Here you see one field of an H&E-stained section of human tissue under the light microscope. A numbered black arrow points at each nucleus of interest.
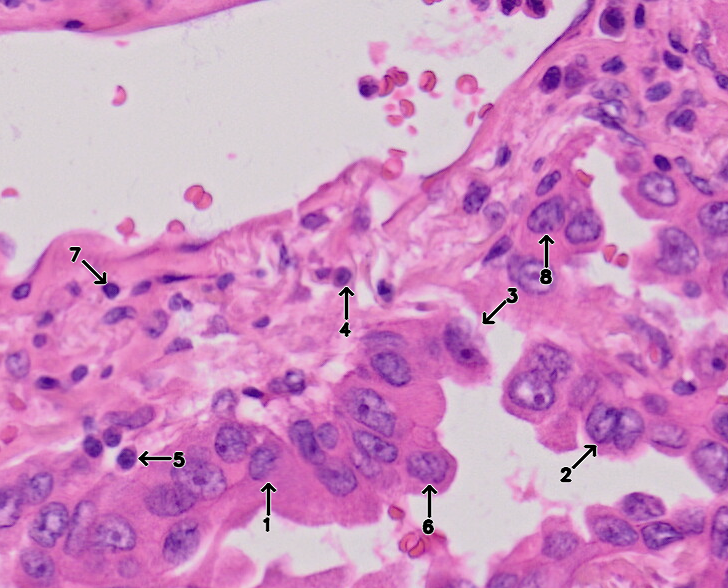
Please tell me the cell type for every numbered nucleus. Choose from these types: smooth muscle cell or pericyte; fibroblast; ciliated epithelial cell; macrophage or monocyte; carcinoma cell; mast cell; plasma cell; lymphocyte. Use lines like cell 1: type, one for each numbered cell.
cell 1: carcinoma cell
cell 2: carcinoma cell
cell 3: carcinoma cell
cell 4: plasma cell
cell 5: lymphocyte
cell 6: carcinoma cell
cell 7: lymphocyte
cell 8: carcinoma cell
